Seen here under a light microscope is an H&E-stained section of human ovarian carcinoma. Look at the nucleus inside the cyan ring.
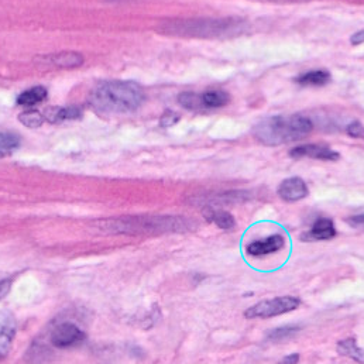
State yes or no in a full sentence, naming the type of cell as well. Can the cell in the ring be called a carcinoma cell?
No, the cell in the ring is a lymphocyte; it is not a carcinoma cell.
